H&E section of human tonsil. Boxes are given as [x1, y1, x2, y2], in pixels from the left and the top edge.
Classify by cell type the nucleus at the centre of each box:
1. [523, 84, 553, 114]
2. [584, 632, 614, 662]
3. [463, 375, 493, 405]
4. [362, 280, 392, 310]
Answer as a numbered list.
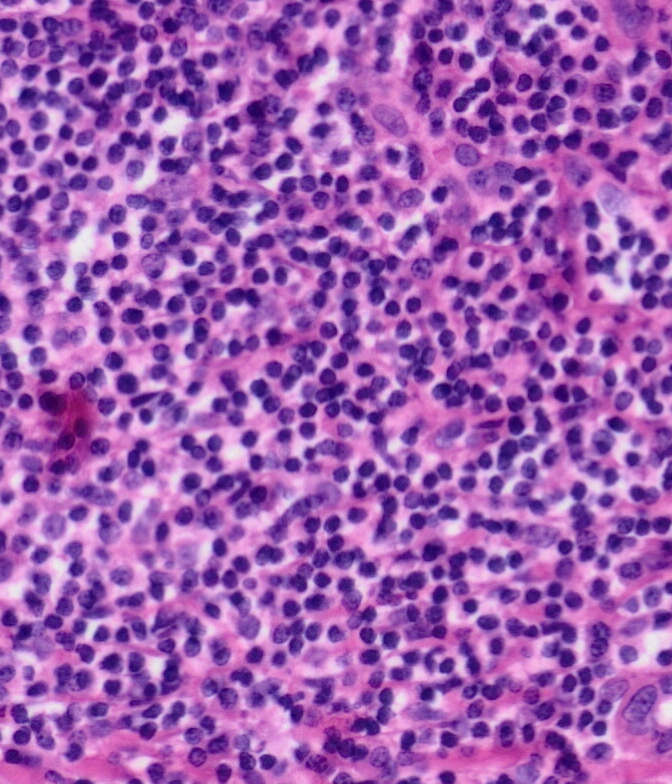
1. small lymphocyte
2. plasma cell
3. small lymphocyte
4. small lymphocyte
